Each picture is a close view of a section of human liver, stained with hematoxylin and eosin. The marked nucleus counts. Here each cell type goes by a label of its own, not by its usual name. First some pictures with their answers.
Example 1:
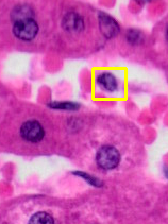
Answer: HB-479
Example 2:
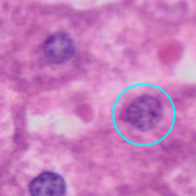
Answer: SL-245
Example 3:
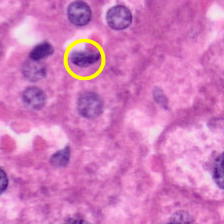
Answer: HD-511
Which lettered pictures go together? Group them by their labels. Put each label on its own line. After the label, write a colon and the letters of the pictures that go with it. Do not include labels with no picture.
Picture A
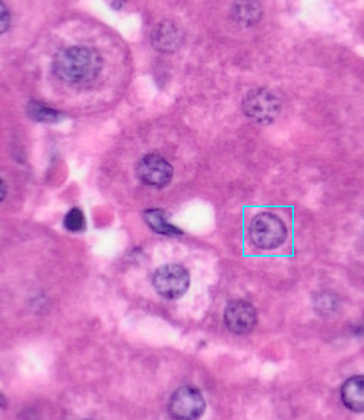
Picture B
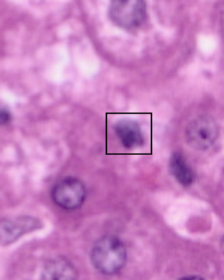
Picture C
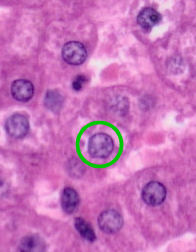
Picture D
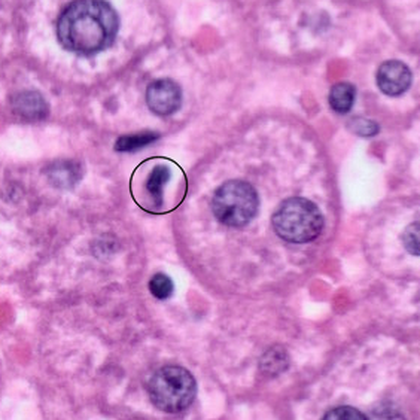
HB-479: D
SL-245: A, C
HD-511: B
